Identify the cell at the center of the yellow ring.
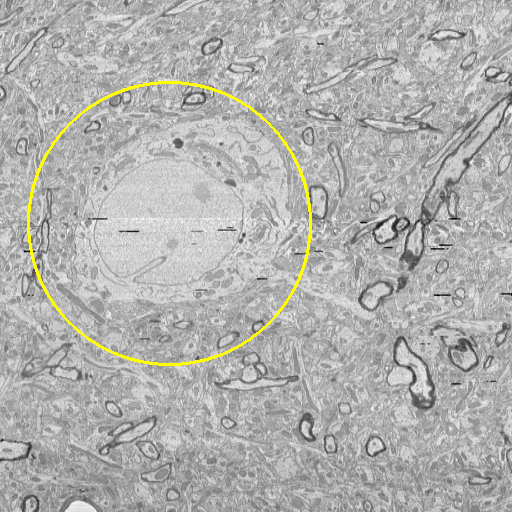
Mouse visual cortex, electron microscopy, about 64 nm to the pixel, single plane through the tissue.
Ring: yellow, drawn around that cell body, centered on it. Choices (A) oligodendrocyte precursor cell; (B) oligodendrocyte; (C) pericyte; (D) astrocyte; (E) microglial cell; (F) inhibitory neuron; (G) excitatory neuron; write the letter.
G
